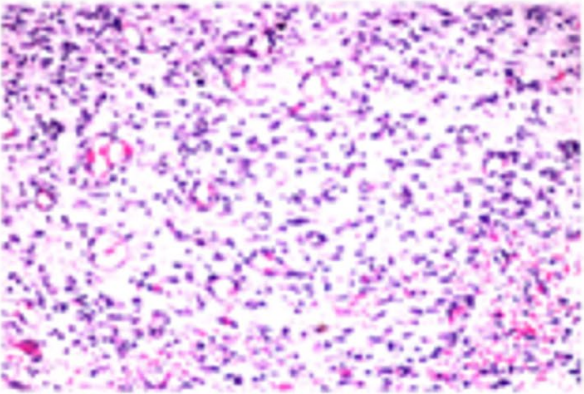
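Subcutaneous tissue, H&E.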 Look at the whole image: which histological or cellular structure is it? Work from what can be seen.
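Newly formed blood capillaries. Small round lumina lined by thin walls lie scattered in the loose tissue. Some contain pink red blood cells.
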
